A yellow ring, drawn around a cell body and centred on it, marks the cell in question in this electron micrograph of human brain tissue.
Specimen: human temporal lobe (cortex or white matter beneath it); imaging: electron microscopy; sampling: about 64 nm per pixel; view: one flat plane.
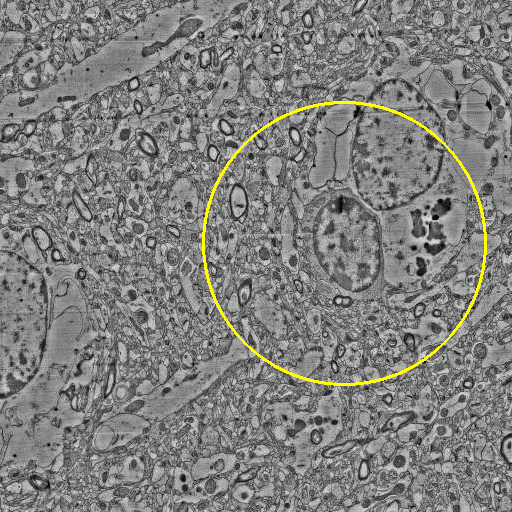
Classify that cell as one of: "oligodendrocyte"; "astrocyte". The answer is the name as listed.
oligodendrocyte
